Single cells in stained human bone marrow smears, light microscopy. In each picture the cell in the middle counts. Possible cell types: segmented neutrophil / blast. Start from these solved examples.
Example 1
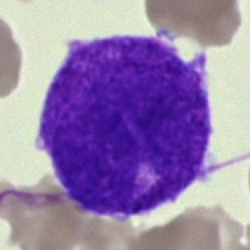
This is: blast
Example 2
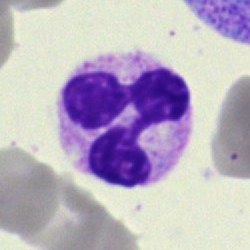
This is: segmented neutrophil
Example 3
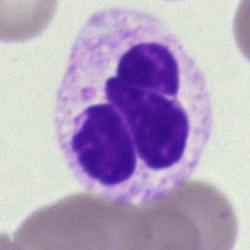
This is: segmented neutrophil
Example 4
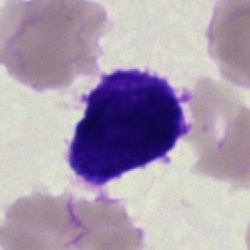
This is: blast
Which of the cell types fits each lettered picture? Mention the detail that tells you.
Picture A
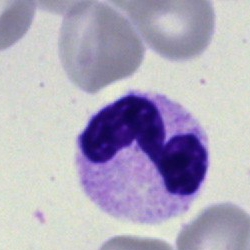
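segmented neutrophil: The chromatin is dark purple and coarsely clumped.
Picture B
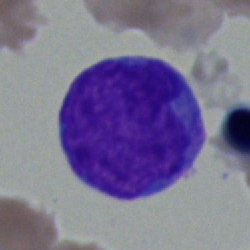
blast: Only a very thin rim of cytoplasm is visible.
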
